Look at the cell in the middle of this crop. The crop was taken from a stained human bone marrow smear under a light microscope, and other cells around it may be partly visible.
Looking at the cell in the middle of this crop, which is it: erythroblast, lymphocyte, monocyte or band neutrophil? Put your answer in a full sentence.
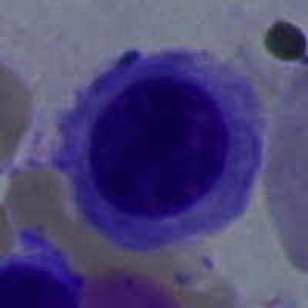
On this slide crop, the central cell is an erythroblast.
